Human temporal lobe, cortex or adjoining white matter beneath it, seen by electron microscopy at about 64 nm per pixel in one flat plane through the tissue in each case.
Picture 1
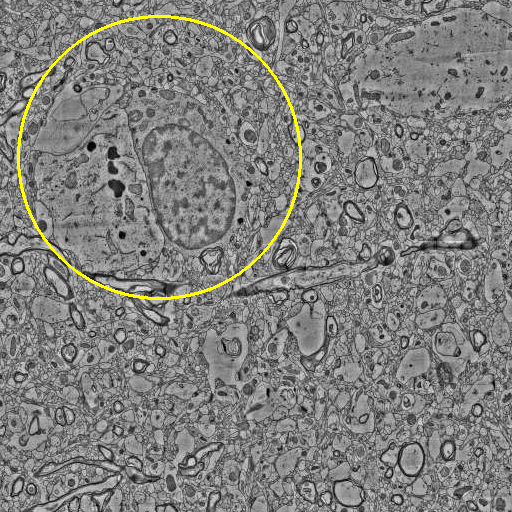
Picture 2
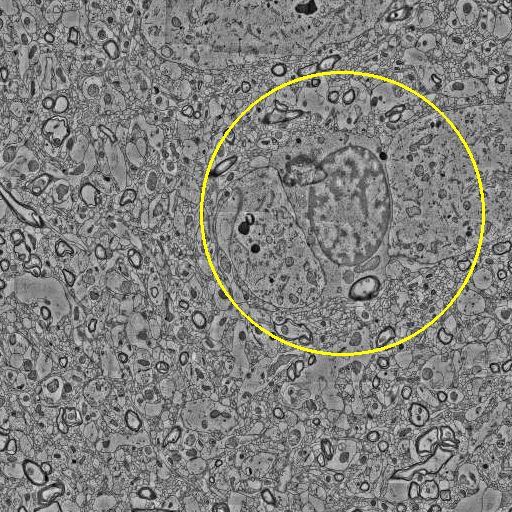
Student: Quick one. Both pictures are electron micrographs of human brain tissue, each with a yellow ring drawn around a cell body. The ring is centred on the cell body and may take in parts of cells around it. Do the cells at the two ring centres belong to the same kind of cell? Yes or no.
yes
